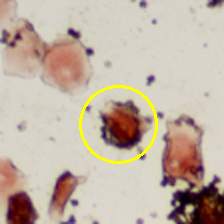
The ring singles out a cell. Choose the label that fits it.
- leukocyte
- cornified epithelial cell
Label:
cornified epithelial cell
